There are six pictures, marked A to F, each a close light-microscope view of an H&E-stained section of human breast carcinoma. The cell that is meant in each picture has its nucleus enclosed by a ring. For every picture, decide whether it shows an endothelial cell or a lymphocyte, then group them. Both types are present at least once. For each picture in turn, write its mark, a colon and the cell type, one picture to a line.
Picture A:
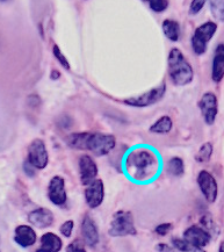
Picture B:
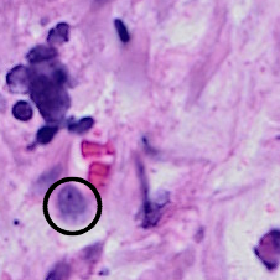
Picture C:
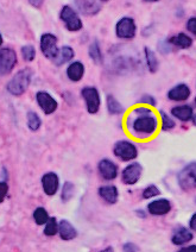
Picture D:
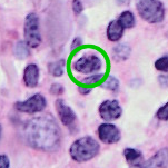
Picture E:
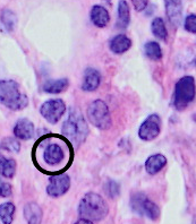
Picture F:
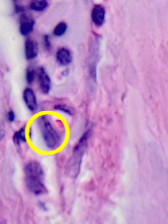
A: lymphocyte
B: endothelial cell
C: lymphocyte
D: lymphocyte
E: lymphocyte
F: endothelial cell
